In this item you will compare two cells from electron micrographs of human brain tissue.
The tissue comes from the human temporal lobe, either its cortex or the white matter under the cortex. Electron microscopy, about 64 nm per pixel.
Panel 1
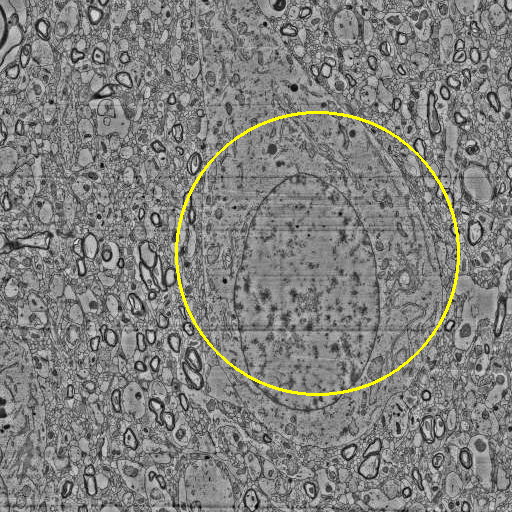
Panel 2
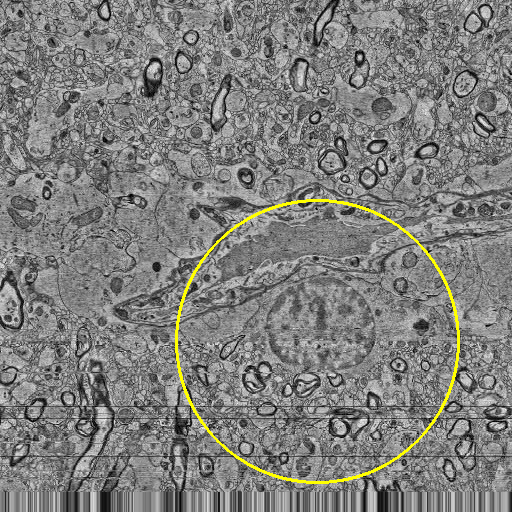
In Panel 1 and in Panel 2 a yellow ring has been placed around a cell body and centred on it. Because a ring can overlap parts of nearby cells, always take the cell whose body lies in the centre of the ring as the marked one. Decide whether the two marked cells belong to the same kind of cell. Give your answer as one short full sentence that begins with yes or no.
No, the two marked cells belong to two kinds of cell.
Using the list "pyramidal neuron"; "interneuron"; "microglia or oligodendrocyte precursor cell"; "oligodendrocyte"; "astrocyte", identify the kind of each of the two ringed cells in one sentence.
The first is a pyramidal neuron and the second is an oligodendrocyte.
